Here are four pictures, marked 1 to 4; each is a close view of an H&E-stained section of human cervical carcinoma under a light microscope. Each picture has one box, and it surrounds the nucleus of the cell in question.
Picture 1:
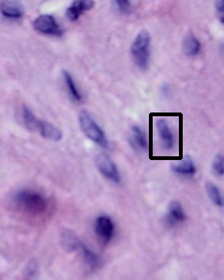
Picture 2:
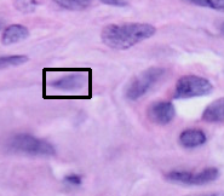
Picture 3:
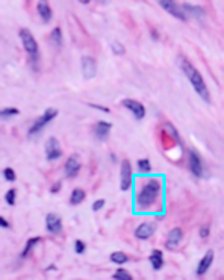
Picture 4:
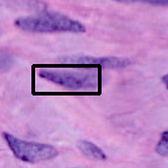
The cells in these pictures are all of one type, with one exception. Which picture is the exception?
3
